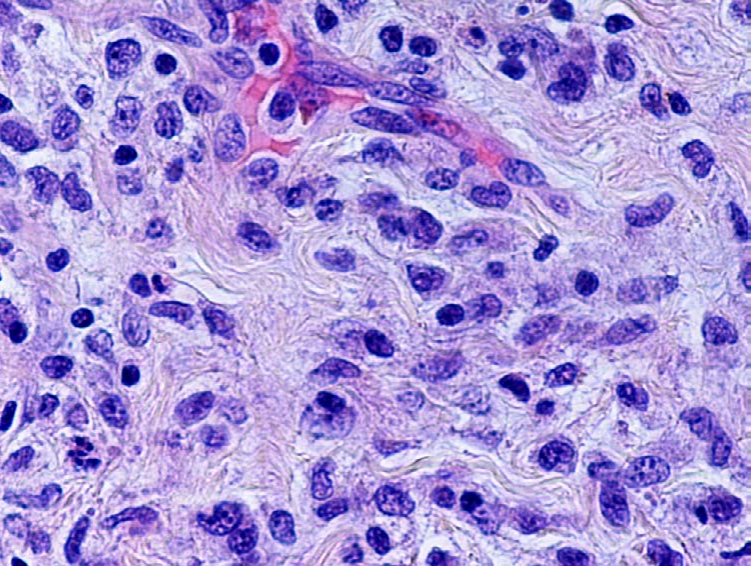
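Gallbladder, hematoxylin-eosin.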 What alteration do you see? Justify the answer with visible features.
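Many nuclei are oval to kidney-shaped with indentations or folds. Several nuclei show fine creases or grooves across their surface. Nuclear outlines vary from cell to cell rather than being round and uniform. That points to this answer: irregular and delicately convoluted nuclear configuration.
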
